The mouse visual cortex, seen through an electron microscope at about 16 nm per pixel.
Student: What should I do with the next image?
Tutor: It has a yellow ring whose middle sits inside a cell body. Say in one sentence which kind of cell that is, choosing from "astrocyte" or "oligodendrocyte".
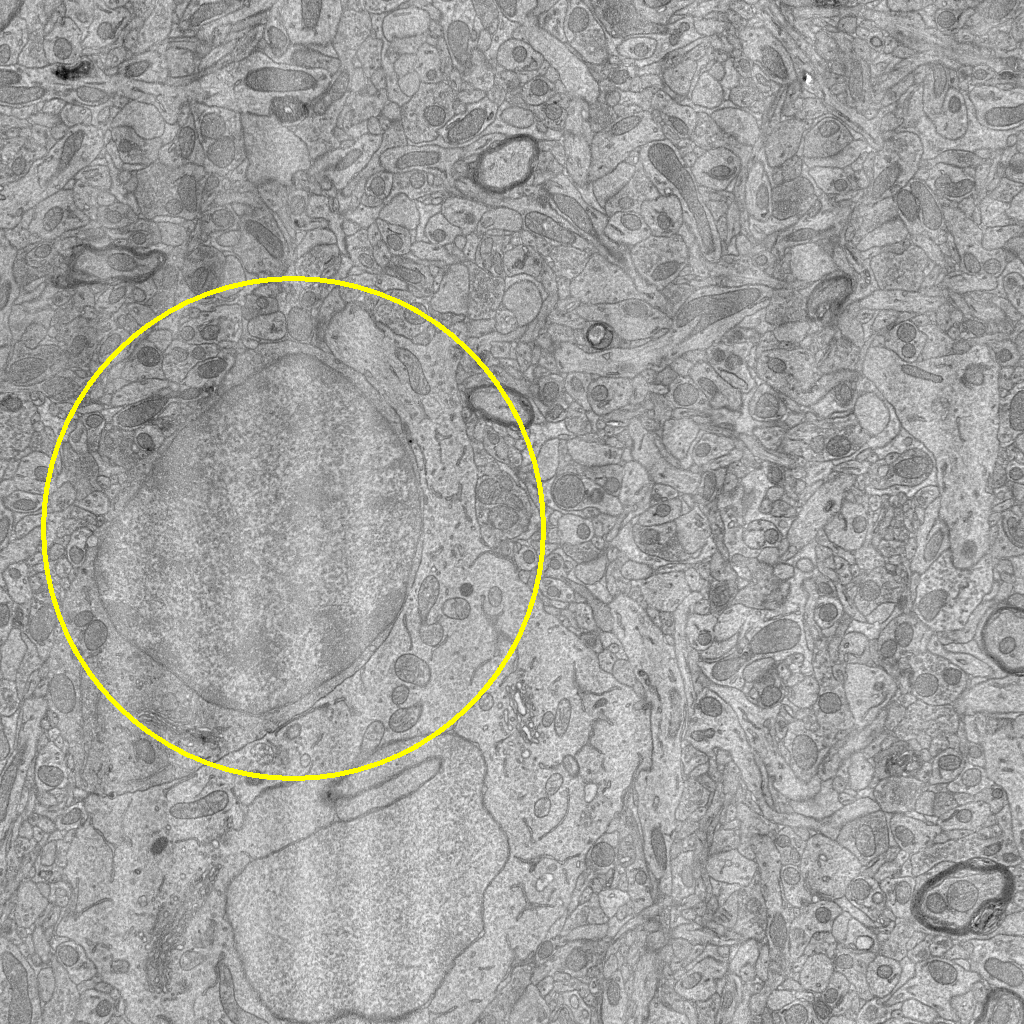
The ring's centre is occupied by an oligodendrocyte.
